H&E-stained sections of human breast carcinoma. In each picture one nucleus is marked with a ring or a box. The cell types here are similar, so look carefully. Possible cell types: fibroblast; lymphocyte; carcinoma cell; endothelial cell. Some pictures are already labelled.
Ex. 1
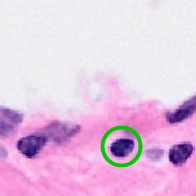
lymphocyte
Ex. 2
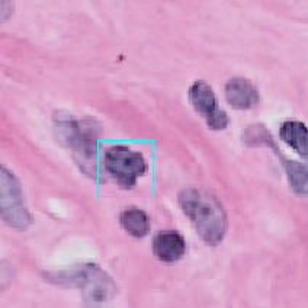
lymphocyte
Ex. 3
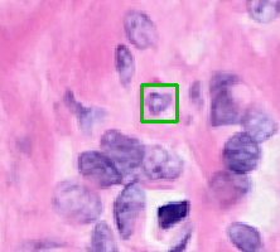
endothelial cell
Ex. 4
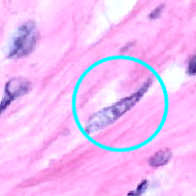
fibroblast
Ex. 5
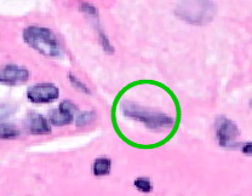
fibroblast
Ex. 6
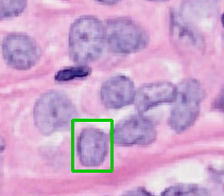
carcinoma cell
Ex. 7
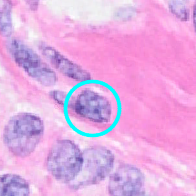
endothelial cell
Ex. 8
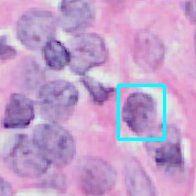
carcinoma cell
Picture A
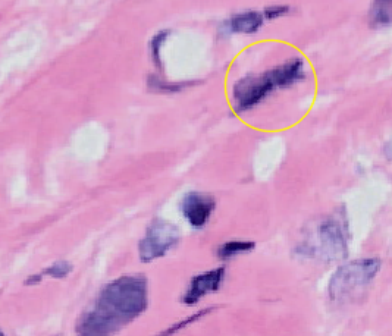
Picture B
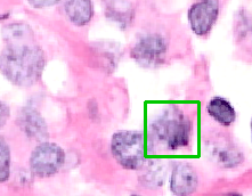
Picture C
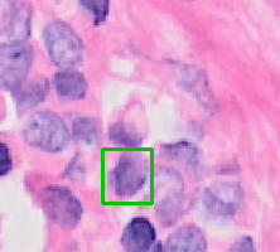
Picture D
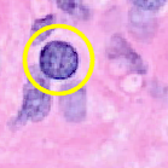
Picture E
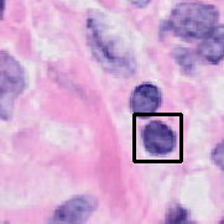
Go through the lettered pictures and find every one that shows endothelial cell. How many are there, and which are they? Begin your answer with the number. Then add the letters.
0, none of them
